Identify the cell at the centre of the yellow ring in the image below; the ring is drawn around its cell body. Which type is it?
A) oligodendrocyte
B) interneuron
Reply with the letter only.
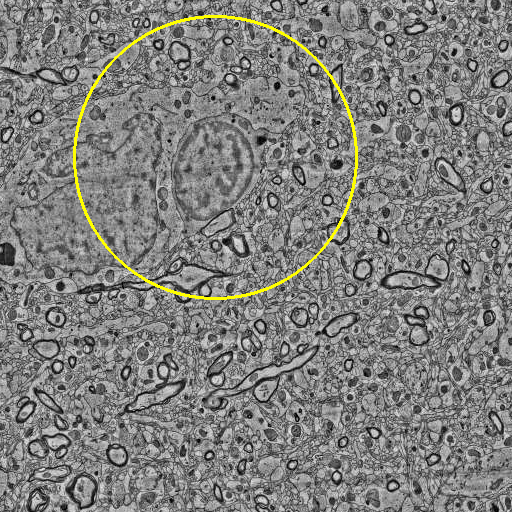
A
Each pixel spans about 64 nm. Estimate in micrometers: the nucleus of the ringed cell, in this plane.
The nucleus has a long axis of about 6 micrometres and a short axis of about 5 micrometres in this plane.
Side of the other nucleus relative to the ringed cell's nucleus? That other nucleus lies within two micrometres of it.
The second nucleus sits to the left of it.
